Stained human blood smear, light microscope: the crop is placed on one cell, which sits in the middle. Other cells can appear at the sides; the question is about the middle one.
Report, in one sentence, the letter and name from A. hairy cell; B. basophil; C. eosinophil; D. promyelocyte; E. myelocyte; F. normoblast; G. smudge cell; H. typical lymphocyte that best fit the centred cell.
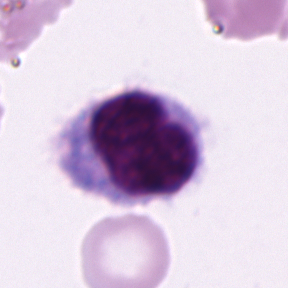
The one cell at the centre is a hairy cell, as correctly stated in option A.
